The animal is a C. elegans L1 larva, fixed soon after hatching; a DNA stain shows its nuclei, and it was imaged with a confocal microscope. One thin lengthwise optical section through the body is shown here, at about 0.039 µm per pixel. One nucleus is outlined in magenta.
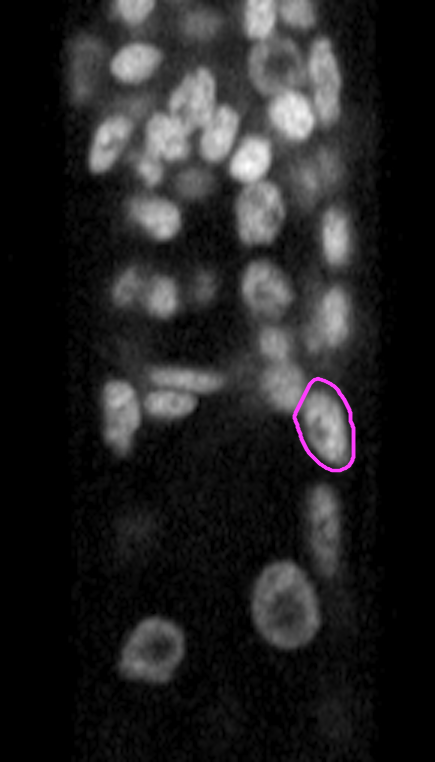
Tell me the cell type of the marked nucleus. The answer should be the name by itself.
body wall muscle cell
